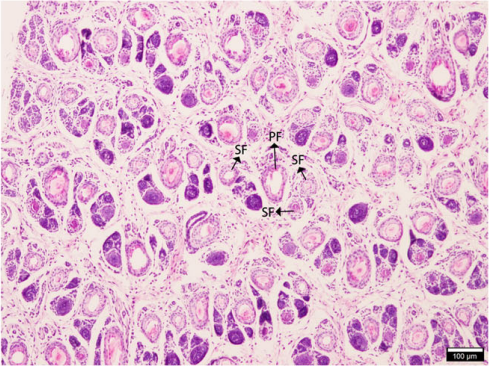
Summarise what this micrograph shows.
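The larger follicles show concentric rings of cells around a pale pink centre, while smaller follicles sit crowded in groups next to them. Dense, deeply purple clusters of cells lie alongside many of the follicles. Thin strands of pale pink connective tissue separate the follicle groups from one another.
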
